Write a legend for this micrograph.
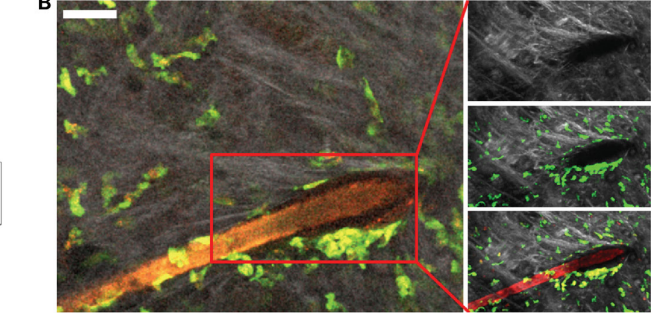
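Small, irregular green cells are scattered through the field. Some are rounded and some are elongated. Several of them gather close along the edges of the red vessel, where they look yellow because the two colours overlap. In the grey-only view the vessel appears as a dark gap in the fibres.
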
